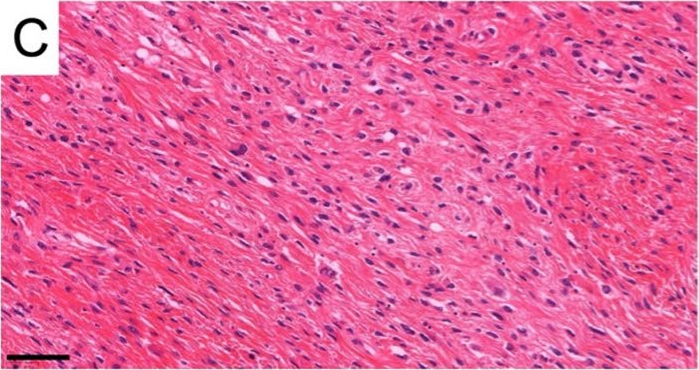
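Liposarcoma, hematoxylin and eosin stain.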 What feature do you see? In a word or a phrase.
fascicular pattern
